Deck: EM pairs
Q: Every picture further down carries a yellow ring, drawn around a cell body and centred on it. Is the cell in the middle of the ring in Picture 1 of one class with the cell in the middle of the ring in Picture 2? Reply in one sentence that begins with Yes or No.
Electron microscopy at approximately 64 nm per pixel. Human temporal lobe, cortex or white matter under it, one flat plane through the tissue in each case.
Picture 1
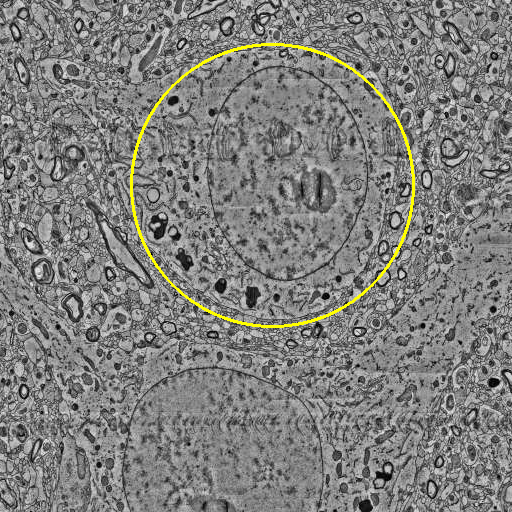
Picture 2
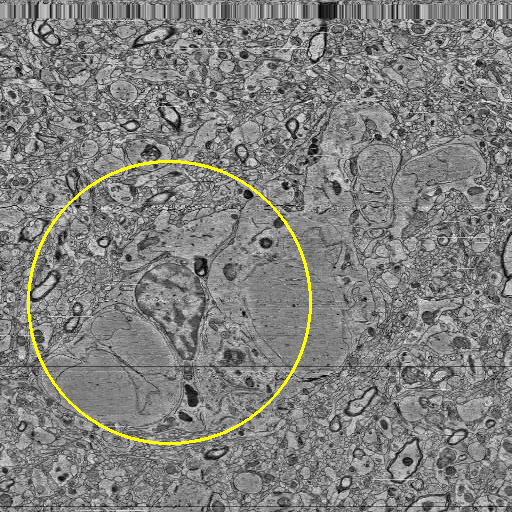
No, the cell centred in the ring of Picture 1 and the one in Picture 2 belong to separate classes.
